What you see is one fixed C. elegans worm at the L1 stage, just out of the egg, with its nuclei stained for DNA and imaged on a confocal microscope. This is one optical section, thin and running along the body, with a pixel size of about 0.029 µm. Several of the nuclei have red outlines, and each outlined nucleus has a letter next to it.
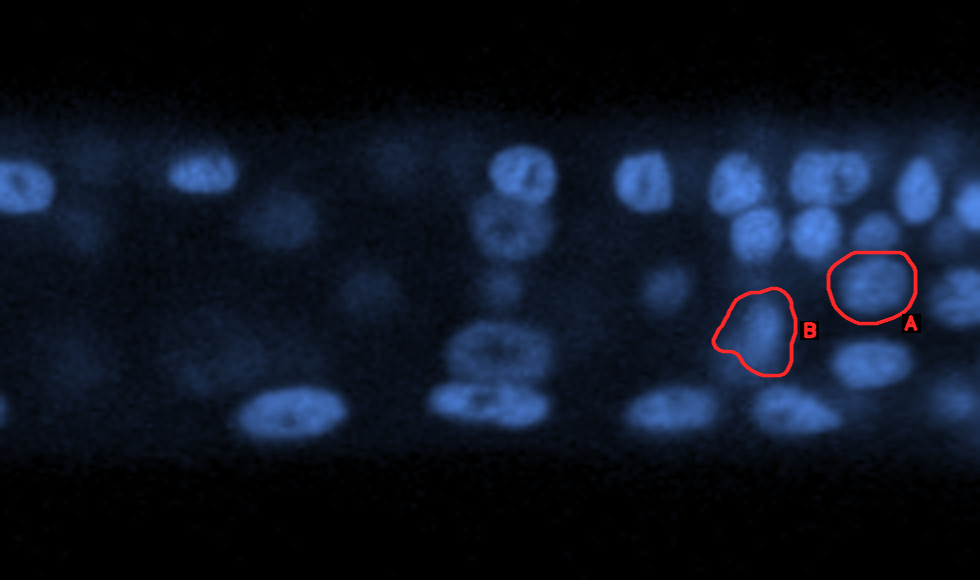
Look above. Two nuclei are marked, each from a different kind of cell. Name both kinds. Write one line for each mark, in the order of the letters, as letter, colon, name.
A: pharyngeal muscle cell
B: valve cell of the gut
